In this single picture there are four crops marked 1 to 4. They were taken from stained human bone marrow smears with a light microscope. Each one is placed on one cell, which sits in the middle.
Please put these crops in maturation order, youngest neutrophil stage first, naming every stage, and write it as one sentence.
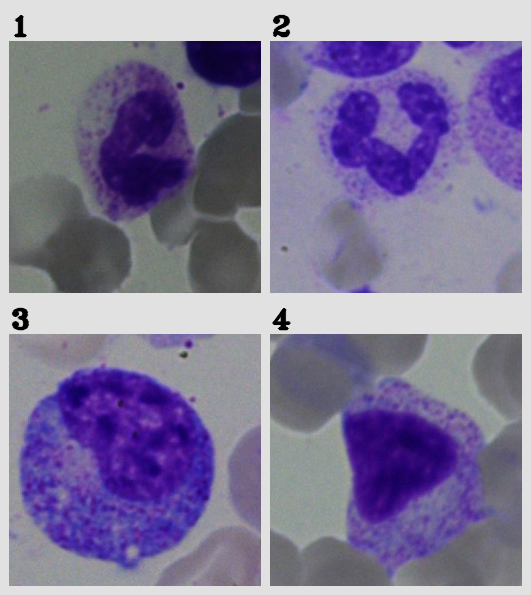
Ordered by maturation stage, least mature first, these are crop 4 (a myelocyte), crop 3 (a metamyelocyte), crop 1 (a band neutrophil) and crop 2 (a segmented neutrophil).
